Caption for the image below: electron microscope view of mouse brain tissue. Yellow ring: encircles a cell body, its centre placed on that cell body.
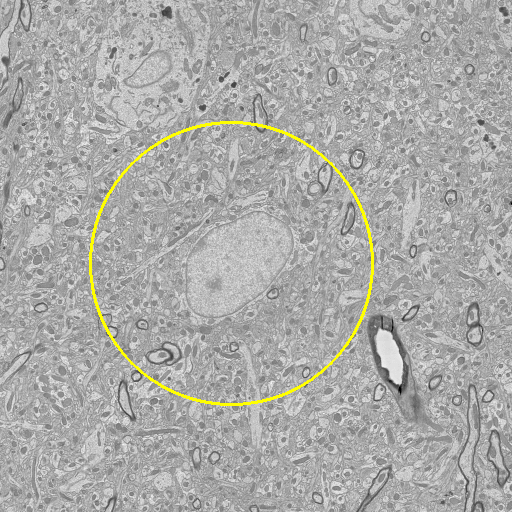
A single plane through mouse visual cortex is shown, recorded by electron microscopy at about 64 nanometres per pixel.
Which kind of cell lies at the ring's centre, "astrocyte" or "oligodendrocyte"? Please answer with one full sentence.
The picture shows an astrocyte at the centre of the yellow ring.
